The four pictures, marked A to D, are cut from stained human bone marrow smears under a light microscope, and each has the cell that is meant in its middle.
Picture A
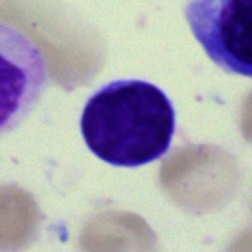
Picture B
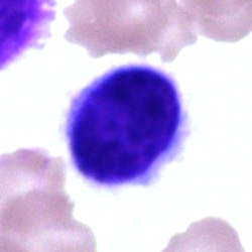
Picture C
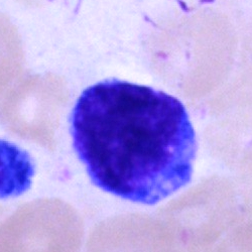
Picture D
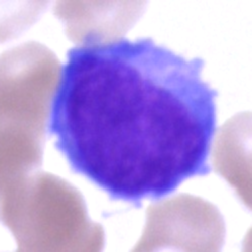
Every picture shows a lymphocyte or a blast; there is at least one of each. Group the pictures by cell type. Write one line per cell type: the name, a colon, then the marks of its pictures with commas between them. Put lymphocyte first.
lymphocyte: A, B
blast: C, D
